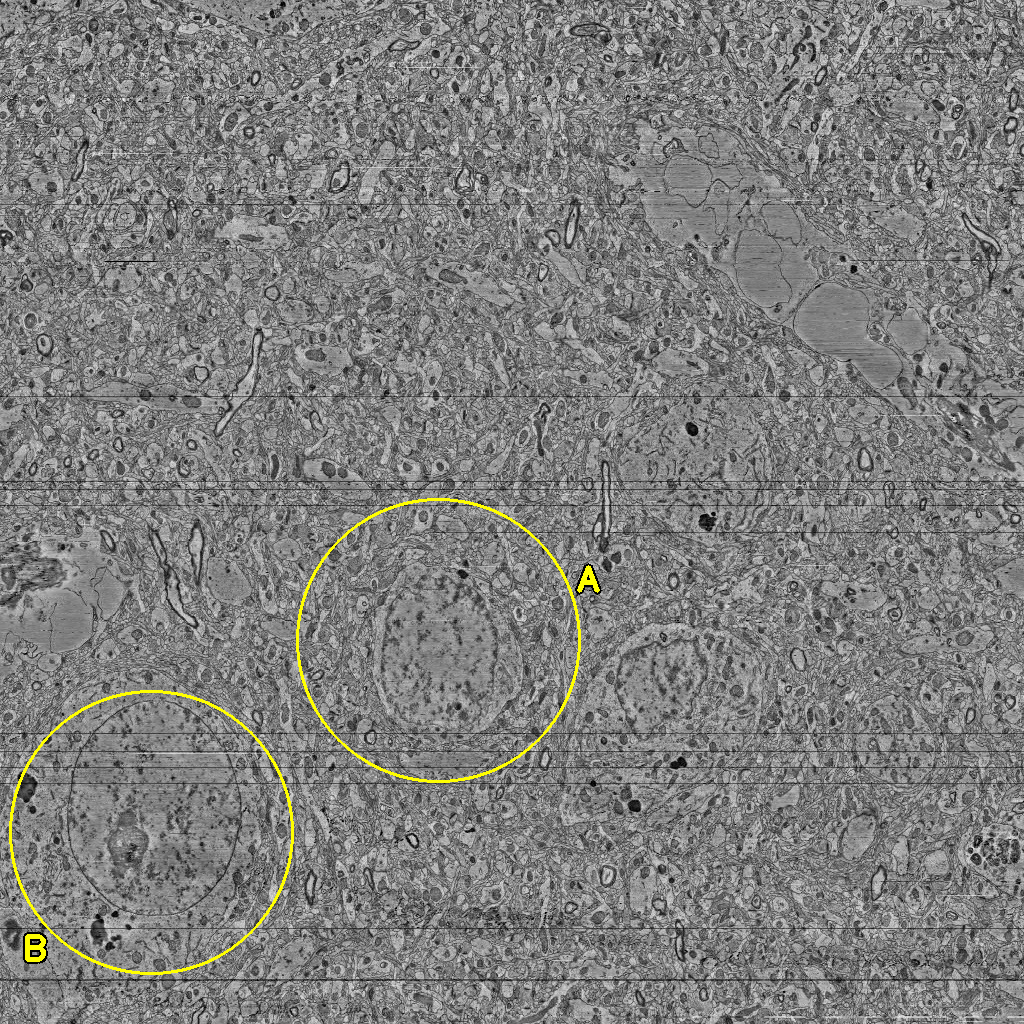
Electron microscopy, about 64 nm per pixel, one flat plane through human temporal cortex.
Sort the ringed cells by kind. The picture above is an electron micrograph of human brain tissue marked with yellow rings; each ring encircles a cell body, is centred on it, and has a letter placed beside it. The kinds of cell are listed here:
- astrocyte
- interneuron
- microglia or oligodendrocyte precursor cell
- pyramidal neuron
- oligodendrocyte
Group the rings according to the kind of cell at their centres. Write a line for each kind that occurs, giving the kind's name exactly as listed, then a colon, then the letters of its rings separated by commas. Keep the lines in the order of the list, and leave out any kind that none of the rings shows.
interneuron: A
pyramidal neuron: B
